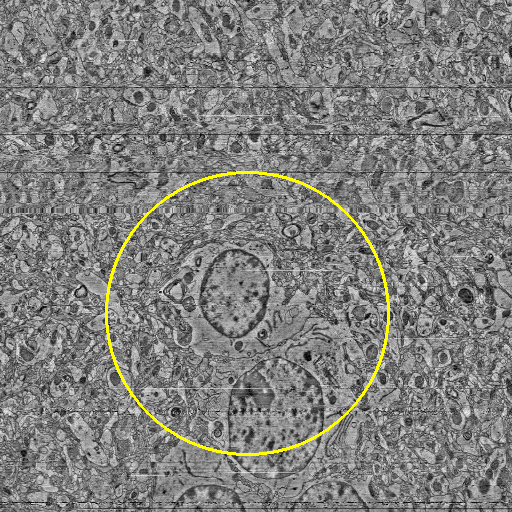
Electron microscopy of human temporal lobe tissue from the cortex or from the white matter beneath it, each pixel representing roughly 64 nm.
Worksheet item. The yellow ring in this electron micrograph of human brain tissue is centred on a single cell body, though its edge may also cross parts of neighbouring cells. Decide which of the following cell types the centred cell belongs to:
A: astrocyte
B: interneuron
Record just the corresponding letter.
A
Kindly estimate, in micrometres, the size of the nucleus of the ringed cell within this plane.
Approximately 6 x 4 micrometres in this plane.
